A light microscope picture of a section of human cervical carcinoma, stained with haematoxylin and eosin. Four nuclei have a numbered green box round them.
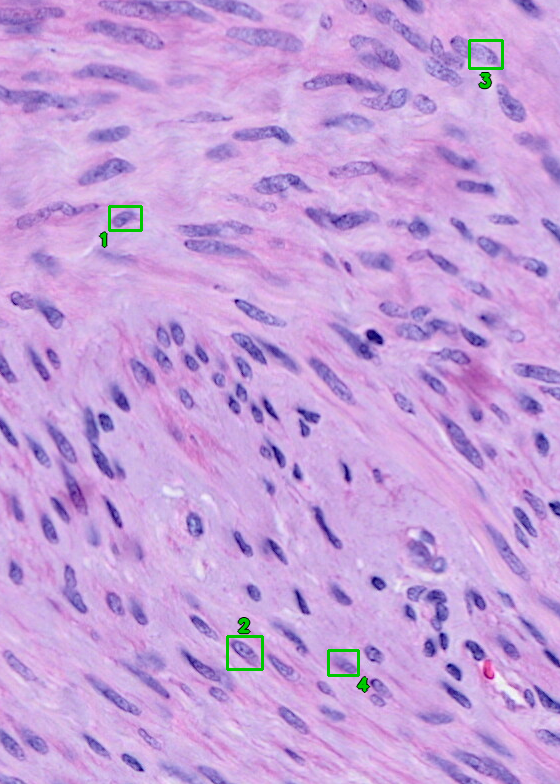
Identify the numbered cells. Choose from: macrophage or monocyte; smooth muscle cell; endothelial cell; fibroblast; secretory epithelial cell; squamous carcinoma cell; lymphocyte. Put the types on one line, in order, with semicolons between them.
smooth muscle cell; smooth muscle cell; fibroblast; smooth muscle cell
